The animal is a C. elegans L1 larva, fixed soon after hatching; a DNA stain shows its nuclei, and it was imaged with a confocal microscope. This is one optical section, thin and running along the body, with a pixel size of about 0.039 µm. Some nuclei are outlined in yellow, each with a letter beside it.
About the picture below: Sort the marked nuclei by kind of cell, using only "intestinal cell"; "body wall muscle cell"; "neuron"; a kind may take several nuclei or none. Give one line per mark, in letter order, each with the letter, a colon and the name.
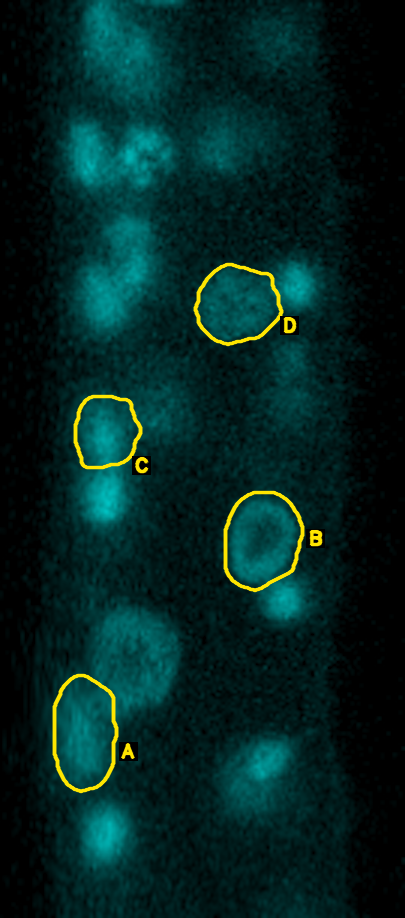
A: neuron
B: intestinal cell
C: neuron
D: intestinal cell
